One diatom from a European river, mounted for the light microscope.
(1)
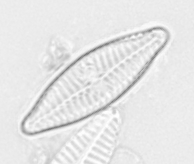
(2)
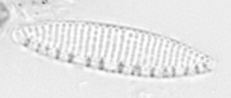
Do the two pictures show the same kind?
No: Navicula, then Nitzschia.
